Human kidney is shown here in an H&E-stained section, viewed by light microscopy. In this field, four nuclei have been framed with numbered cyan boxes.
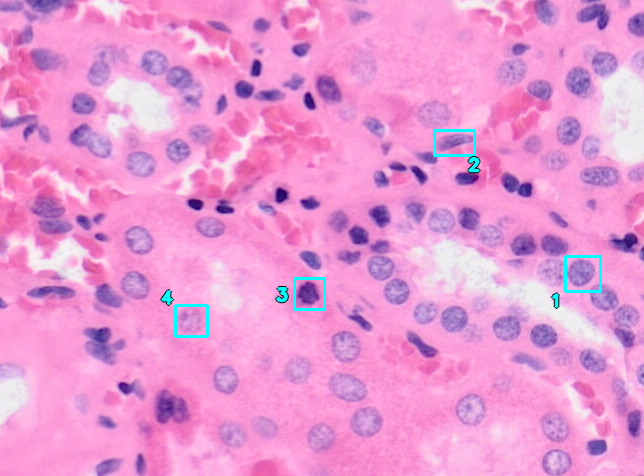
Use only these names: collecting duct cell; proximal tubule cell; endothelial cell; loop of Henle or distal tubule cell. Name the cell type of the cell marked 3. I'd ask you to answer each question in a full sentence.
The correct answer for cell 3 is a proximal tubule cell.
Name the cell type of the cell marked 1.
Heads up, the cell numbered 1 is a collecting duct cell.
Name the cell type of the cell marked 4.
Looking at the numbered marks, cell 4 is a proximal tubule cell.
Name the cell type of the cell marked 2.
The marked cell with the number 2 is recognised as an endothelial cell.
